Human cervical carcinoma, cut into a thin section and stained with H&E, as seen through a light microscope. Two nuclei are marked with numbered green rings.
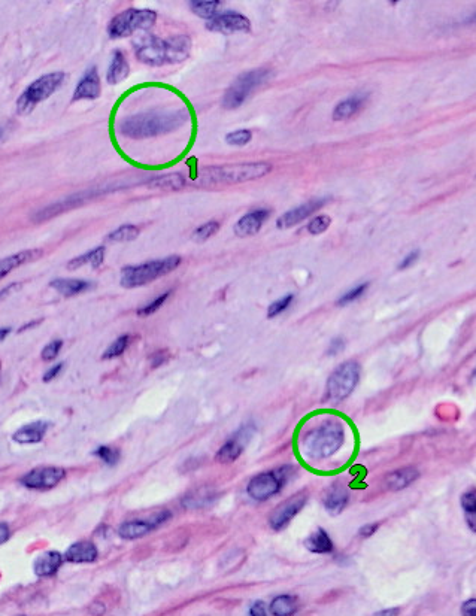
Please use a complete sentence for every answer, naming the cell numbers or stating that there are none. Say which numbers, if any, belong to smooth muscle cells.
None but cell 1 among the numbered cells is a smooth muscle cell.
